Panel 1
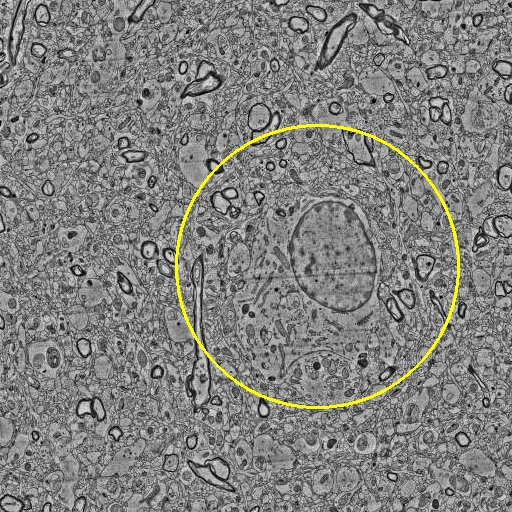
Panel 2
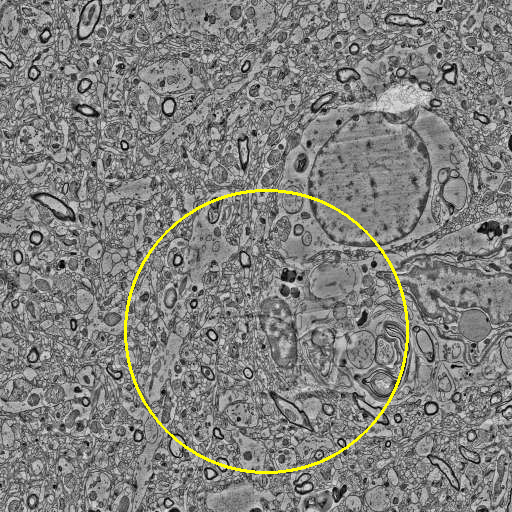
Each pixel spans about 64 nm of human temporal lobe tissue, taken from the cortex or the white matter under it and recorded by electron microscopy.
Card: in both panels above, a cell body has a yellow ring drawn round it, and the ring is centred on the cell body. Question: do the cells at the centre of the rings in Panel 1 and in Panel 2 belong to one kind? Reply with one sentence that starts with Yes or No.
Yes, the cells centred in the rings of Panel 1 and Panel 2 are one kind of cell.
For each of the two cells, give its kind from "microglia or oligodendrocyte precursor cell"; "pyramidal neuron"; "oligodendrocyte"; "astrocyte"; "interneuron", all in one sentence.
Each cell, in the first picture and the second, is a microglial cell or oligodendrocyte precursor cell.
